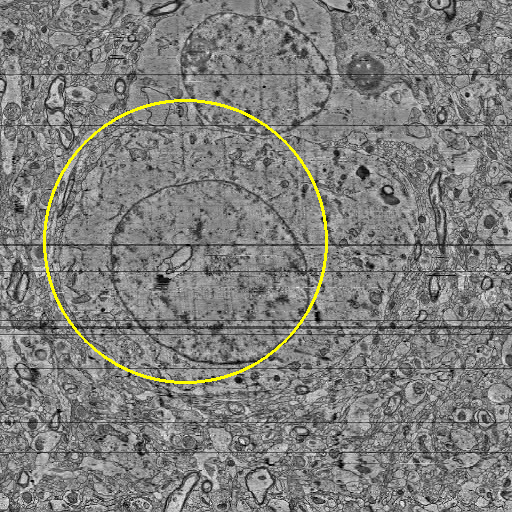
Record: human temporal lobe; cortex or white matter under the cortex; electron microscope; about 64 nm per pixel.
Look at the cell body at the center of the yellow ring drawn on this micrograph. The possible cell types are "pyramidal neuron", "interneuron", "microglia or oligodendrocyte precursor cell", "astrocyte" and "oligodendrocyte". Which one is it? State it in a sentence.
The cell in the middle of the ring is a pyramidal neuron.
